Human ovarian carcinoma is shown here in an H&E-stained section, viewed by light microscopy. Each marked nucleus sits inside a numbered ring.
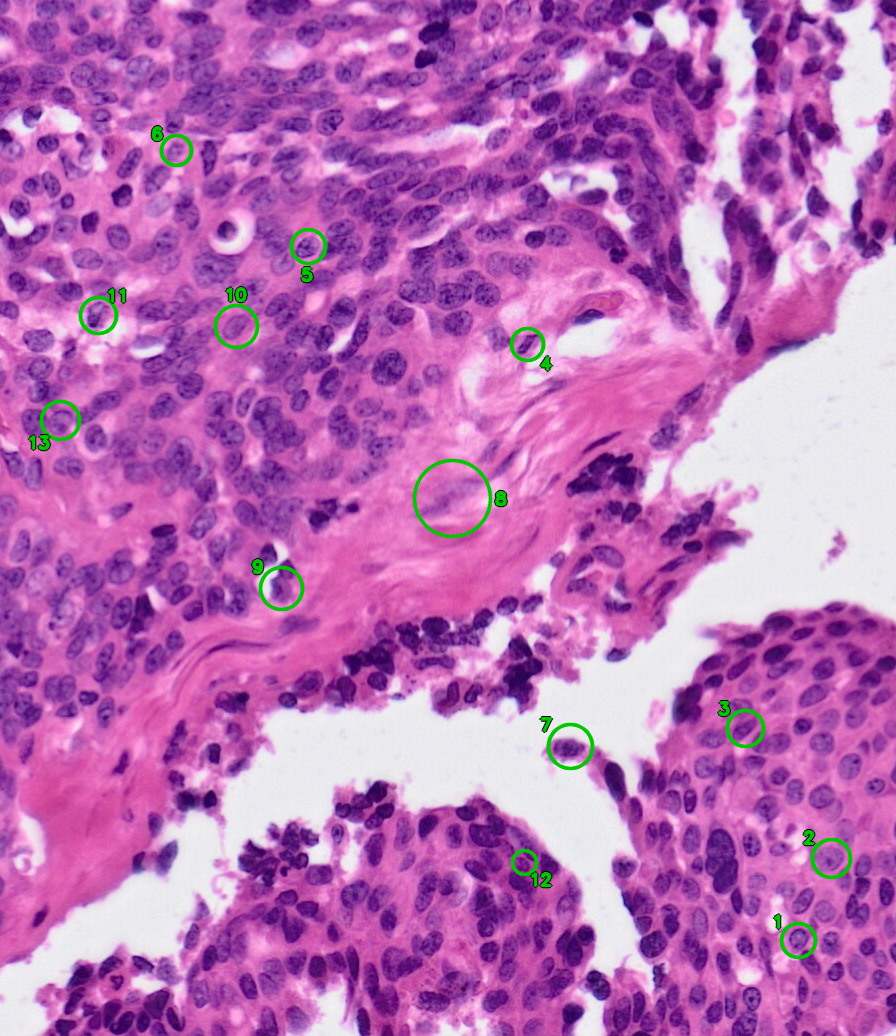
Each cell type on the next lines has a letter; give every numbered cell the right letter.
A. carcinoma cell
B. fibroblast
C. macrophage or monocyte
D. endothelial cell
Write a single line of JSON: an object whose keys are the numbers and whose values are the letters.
{"1": "C", "2": "A", "3": "A", "4": "B", "5": "C", "6": "C", "7": "C", "8": "B", "9": "A", "10": "A", "11": "C", "12": "A", "13": "A"}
